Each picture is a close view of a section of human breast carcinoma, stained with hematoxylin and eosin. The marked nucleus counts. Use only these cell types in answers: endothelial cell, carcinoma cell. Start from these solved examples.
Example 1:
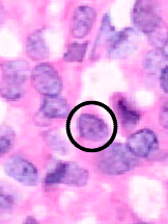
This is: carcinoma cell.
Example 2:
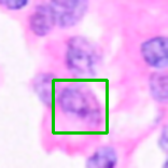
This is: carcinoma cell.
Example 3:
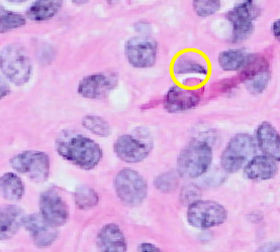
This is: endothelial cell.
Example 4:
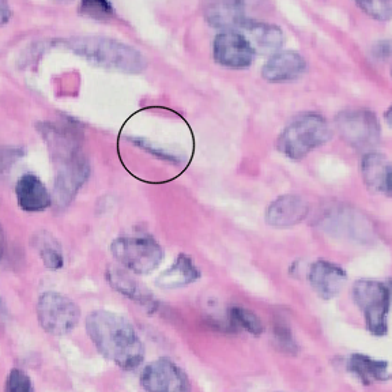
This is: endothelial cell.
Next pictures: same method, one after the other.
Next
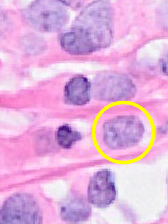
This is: carcinoma cell.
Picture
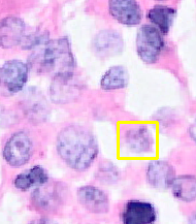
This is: carcinoma cell.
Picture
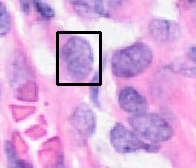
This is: carcinoma cell.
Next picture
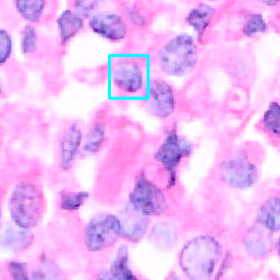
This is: carcinoma cell.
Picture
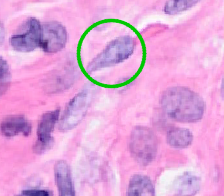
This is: endothelial cell.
